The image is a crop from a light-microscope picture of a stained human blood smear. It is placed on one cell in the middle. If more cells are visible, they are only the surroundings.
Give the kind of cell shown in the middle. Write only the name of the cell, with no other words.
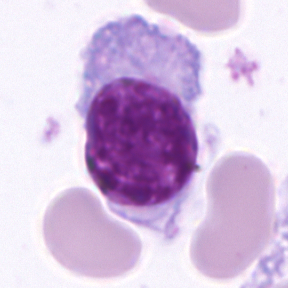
plasma cell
